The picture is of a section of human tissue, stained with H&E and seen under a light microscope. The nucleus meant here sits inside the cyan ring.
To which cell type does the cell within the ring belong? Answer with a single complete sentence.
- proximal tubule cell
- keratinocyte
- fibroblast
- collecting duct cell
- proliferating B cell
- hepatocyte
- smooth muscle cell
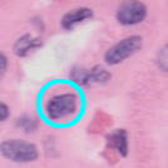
Among the cells in this section, the cell within the ring is a collecting duct cell.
